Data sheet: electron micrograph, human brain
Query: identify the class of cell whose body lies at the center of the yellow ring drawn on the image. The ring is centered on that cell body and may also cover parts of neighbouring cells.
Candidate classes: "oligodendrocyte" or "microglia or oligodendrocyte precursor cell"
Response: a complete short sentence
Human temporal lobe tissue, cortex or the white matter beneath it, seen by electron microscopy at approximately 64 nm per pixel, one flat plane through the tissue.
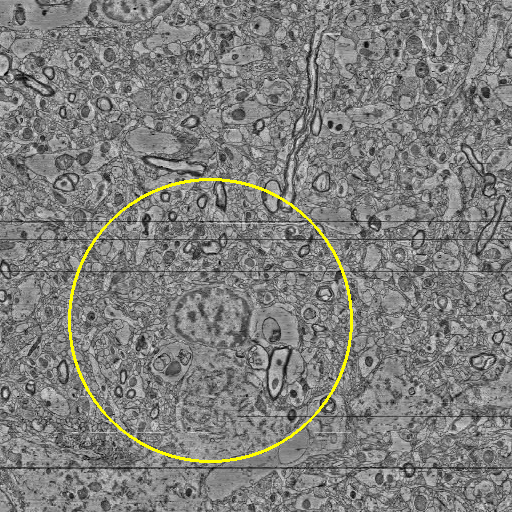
At the center of the ring lies an oligodendrocyte.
